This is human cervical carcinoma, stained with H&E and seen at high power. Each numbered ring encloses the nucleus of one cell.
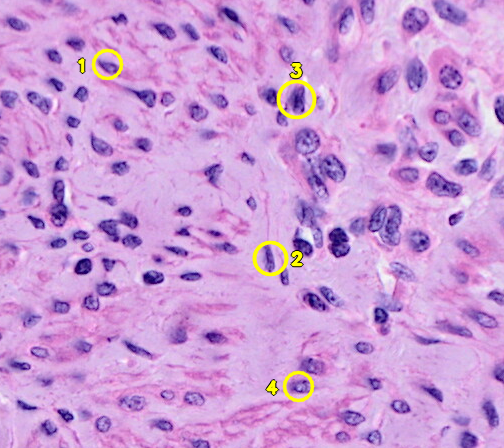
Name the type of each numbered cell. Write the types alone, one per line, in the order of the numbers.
smooth muscle cell
fibroblast
lymphocyte
smooth muscle cell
